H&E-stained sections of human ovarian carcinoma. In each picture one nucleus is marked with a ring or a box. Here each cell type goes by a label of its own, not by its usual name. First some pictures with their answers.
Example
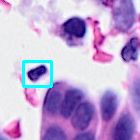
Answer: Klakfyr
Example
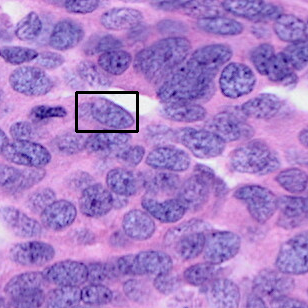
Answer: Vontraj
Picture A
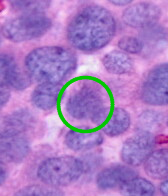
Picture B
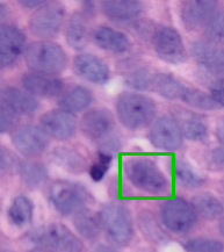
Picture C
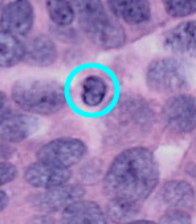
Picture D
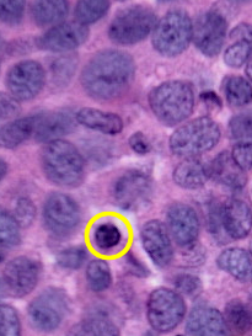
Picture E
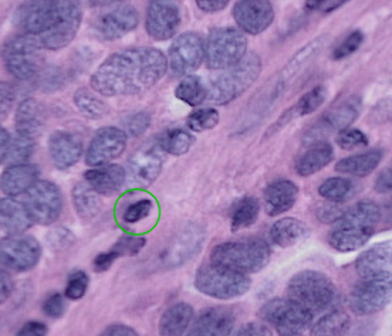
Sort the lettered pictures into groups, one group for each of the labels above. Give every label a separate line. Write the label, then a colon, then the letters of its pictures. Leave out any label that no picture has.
Klakfyr: C, D, E
Vontraj: A, B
